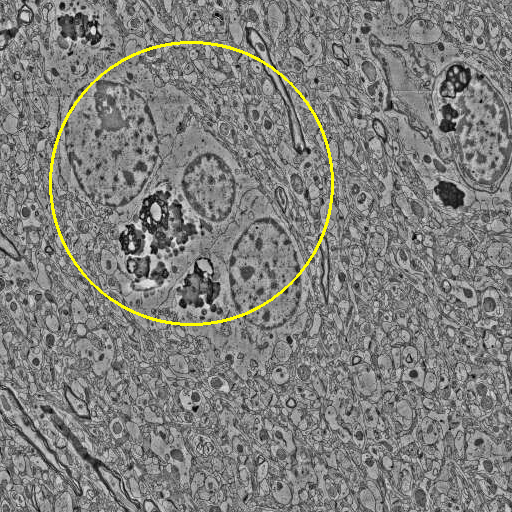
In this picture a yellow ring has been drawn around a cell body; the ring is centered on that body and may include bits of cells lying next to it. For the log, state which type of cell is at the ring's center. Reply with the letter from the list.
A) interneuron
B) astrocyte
B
